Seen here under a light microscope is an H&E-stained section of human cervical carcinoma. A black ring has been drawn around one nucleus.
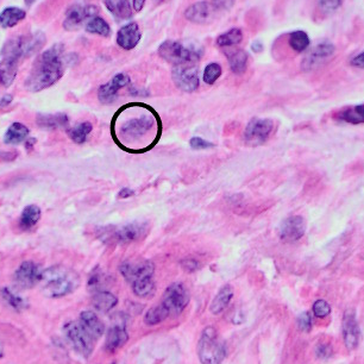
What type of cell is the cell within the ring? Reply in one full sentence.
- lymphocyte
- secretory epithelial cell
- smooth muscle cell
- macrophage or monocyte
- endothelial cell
As for its identity, the cell within the ring is a macrophage or monocyte.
